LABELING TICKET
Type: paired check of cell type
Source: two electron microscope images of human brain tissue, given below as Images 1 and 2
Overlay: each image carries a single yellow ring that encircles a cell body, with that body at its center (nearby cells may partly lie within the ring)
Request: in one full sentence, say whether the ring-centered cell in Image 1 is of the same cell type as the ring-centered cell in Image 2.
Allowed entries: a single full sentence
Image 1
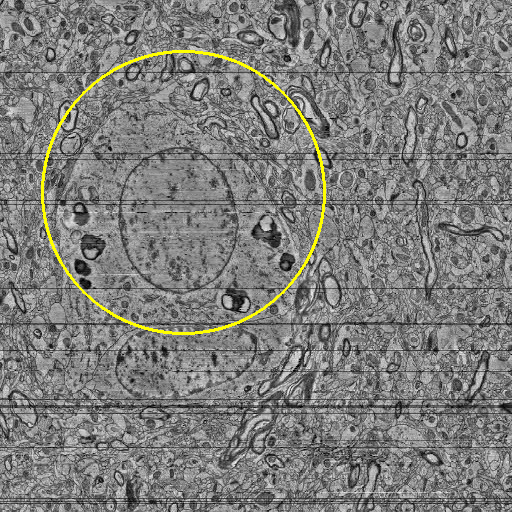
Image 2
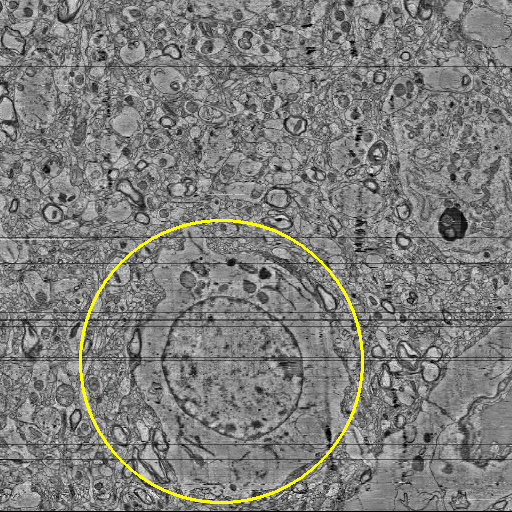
No, the cells centered in the rings of Image 1 and Image 2 are of two types.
